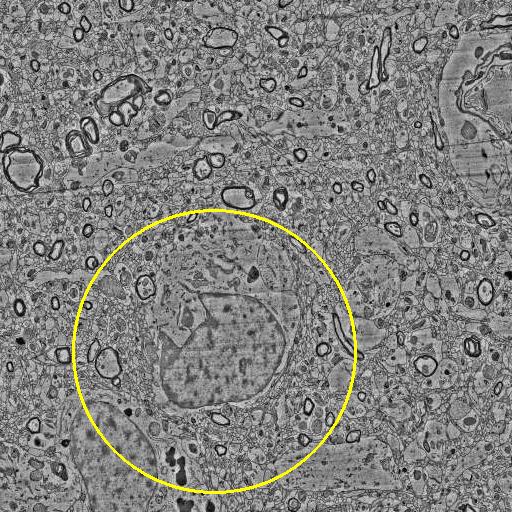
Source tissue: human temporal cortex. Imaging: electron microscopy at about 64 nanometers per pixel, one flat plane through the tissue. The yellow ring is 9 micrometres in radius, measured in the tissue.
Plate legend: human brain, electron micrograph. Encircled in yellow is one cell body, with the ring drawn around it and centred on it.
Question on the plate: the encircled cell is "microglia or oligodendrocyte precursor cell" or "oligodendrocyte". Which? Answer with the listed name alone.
microglia or oligodendrocyte precursor cell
